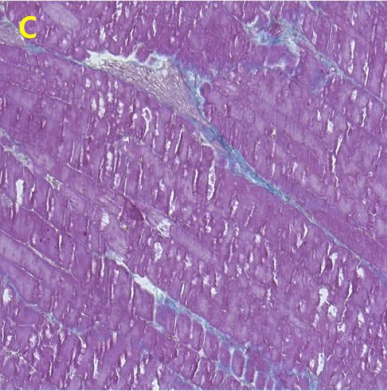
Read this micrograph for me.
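This is muscle cut lengthwise, with the fibers stained red-purple and running diagonally across the field. Thin blue-stained strands of connective tissue run between bundles of fibers. Near the top, a wider blue fibrous band lies beside a pale, loose-looking area. Many small white clefts and spaces break up the fibers, so the tissue looks less compact.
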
